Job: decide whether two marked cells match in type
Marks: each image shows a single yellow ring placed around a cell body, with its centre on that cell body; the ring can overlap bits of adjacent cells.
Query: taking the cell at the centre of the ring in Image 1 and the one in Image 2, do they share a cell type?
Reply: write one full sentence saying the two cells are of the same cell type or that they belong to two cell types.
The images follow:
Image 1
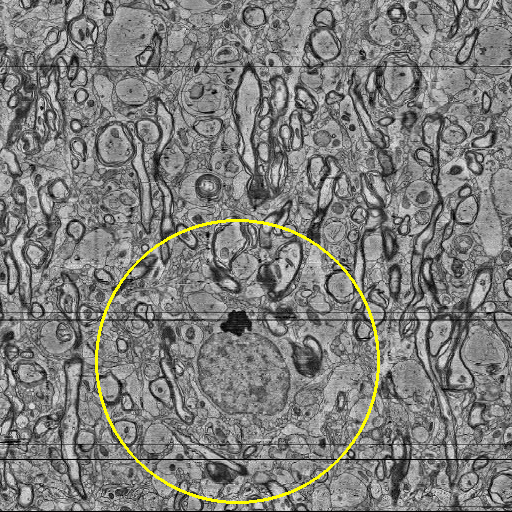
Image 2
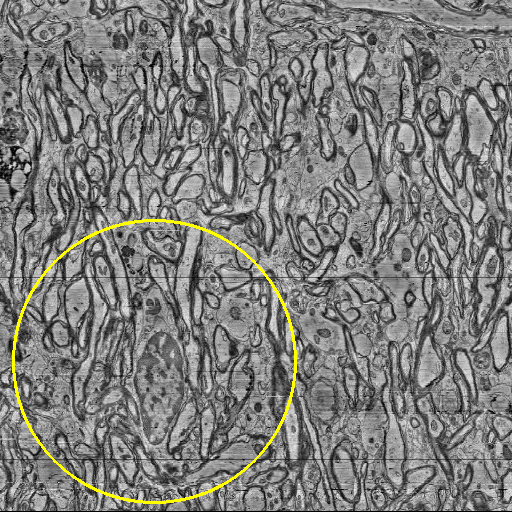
The cells at the ring centres in Image 1 and Image 2 belong to two cell types.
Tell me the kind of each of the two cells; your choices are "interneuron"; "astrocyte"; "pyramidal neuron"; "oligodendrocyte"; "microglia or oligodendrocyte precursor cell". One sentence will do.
The ringed cell is an oligodendrocyte in the first picture and a microglial cell or oligodendrocyte precursor cell in the second picture.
